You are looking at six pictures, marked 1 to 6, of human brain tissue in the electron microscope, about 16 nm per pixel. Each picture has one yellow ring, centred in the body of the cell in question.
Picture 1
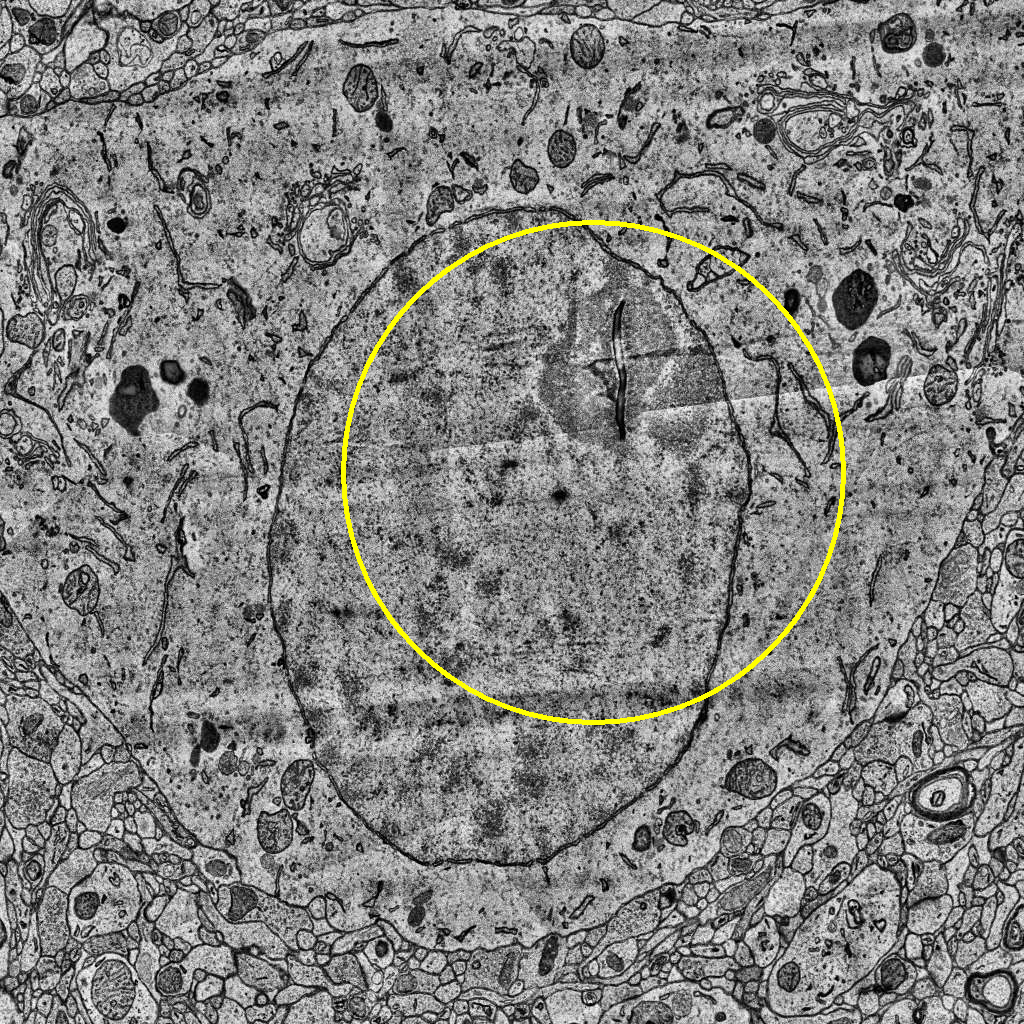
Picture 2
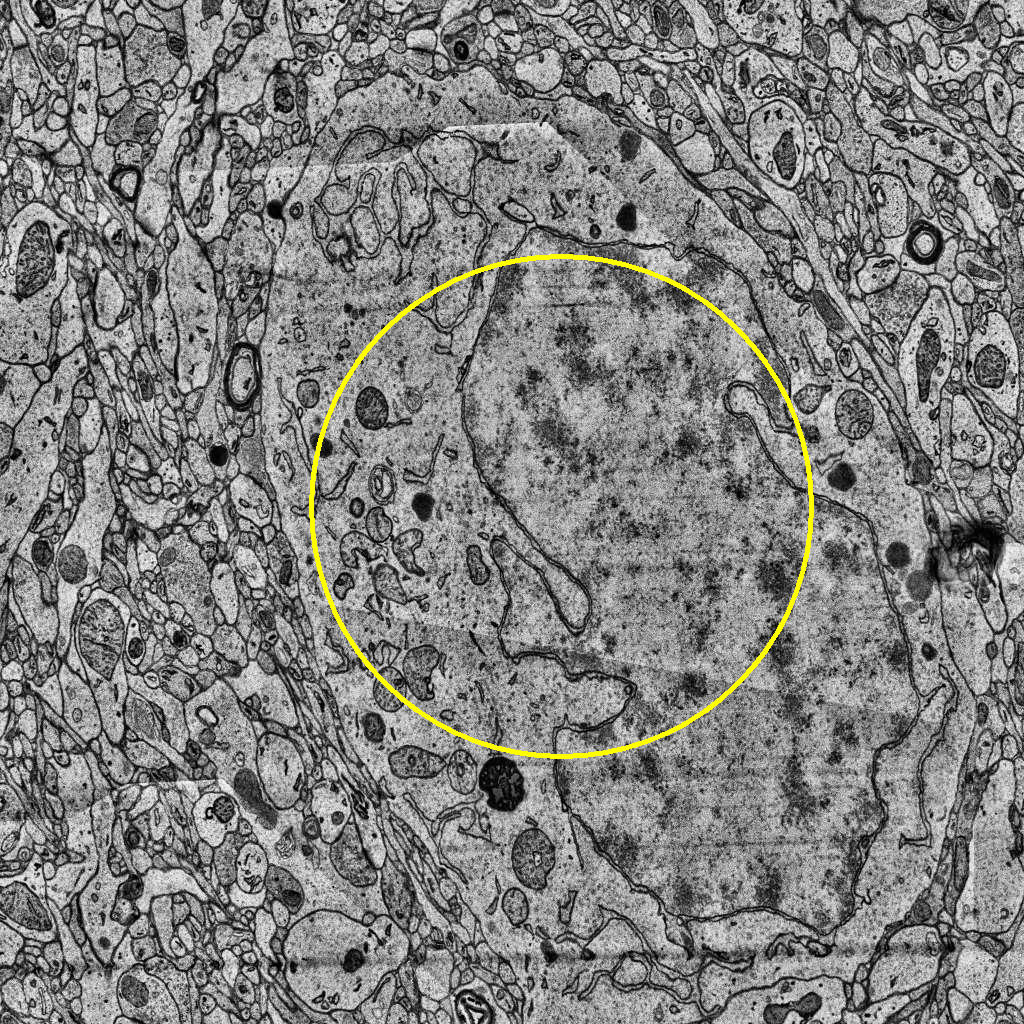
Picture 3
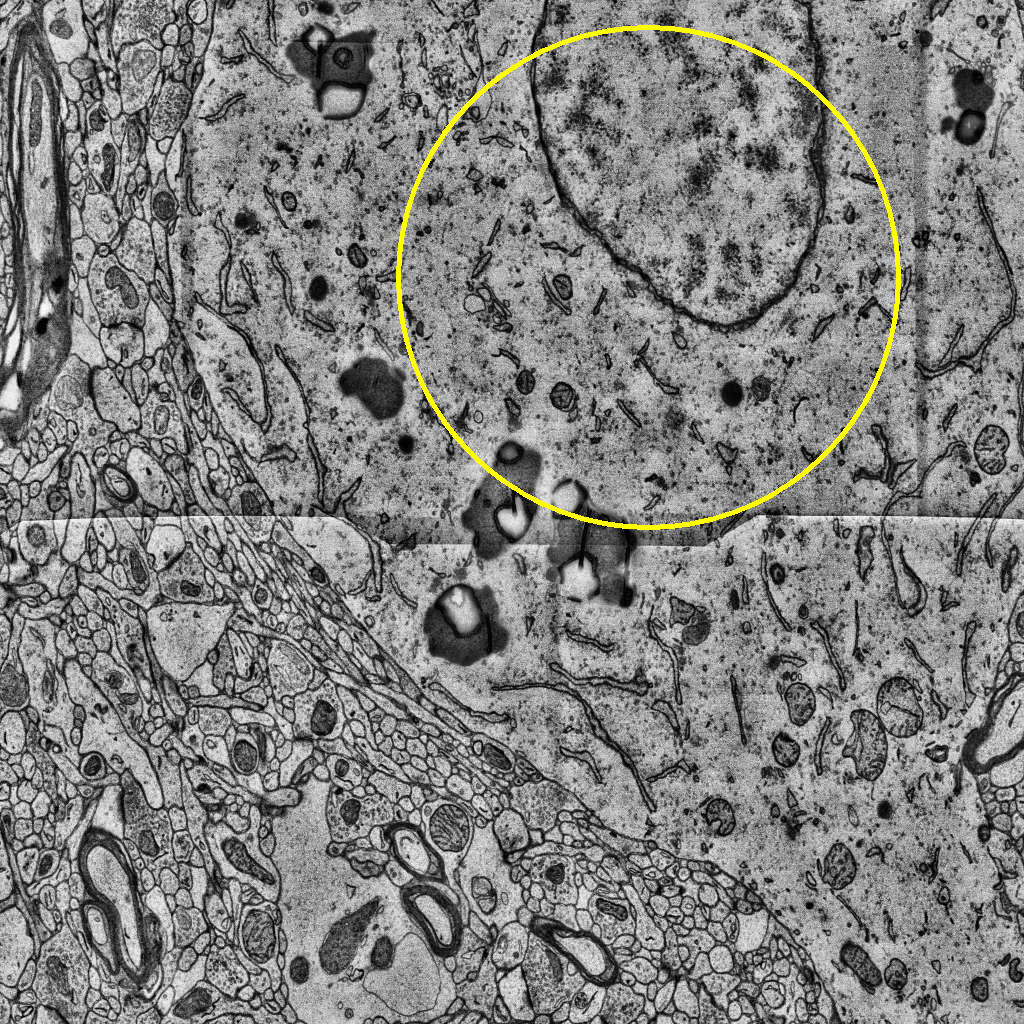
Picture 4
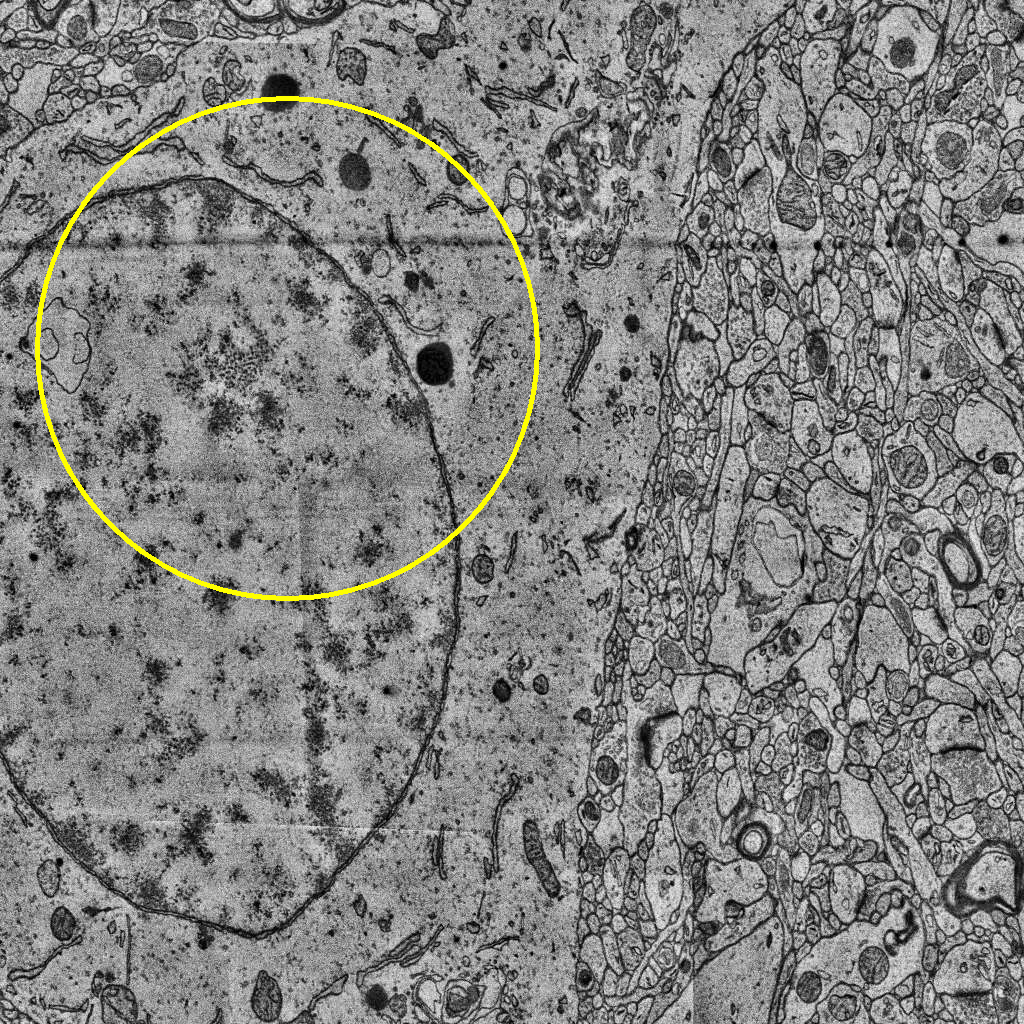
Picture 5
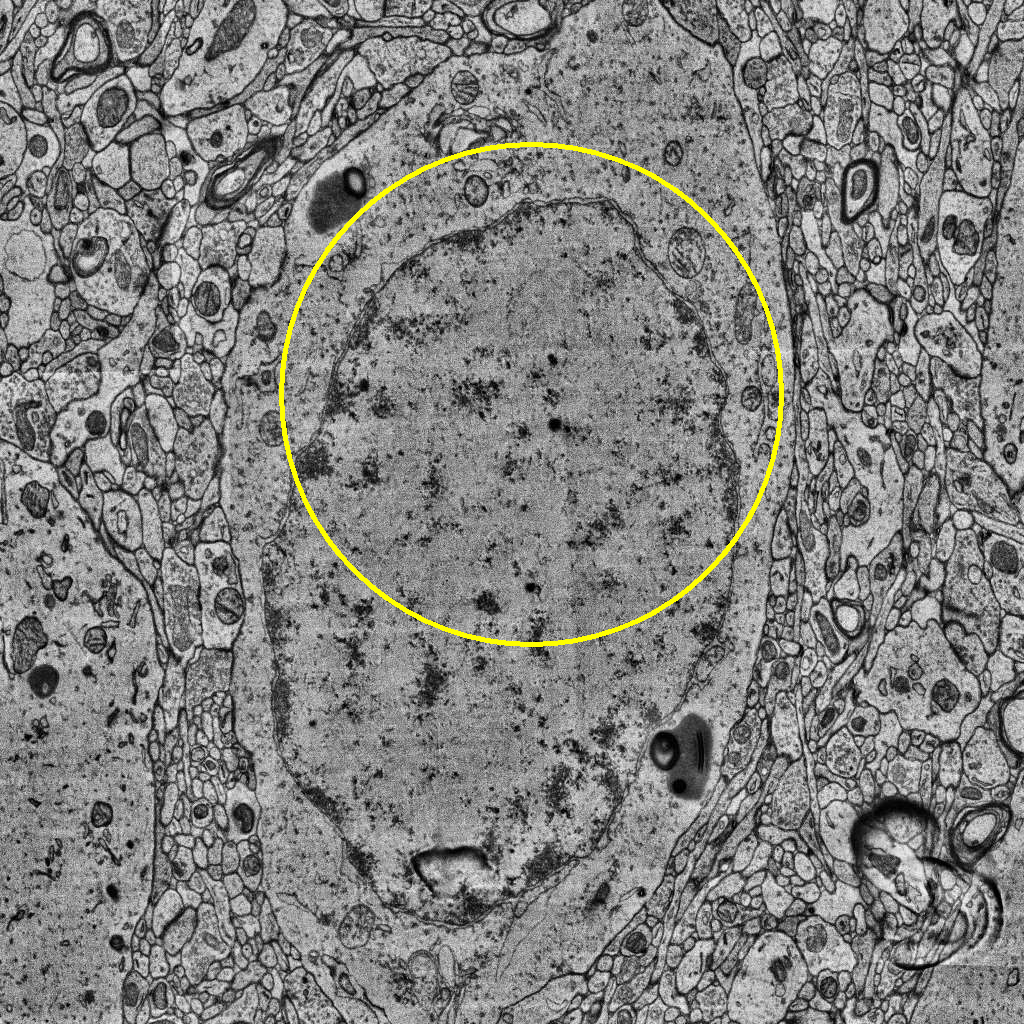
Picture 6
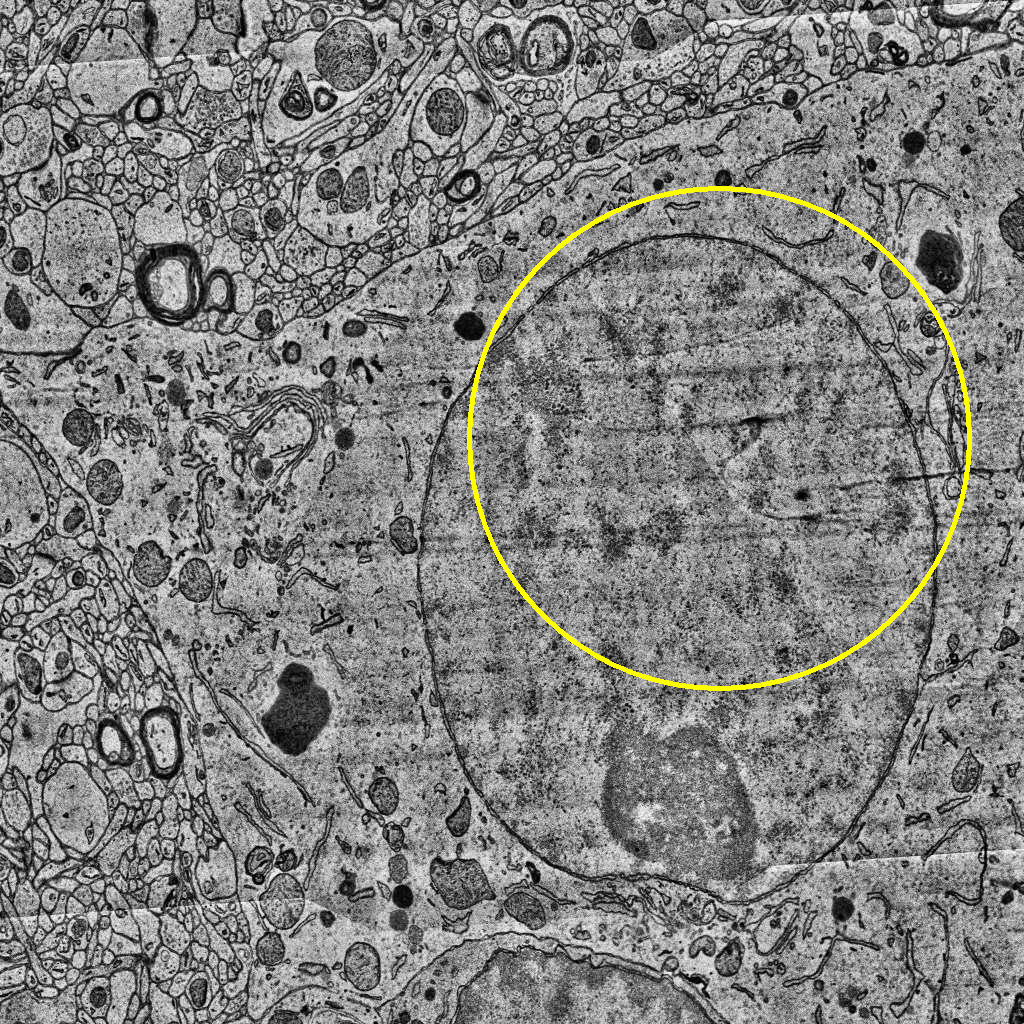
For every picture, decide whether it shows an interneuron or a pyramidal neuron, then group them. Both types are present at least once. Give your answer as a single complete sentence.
Pictures 2 and 5 show interneurons; pictures 1, 3, 4 and 6 show pyramidal neurons.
